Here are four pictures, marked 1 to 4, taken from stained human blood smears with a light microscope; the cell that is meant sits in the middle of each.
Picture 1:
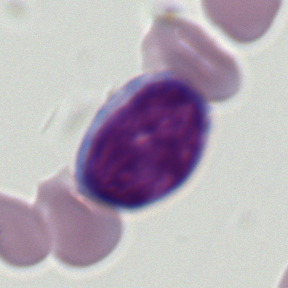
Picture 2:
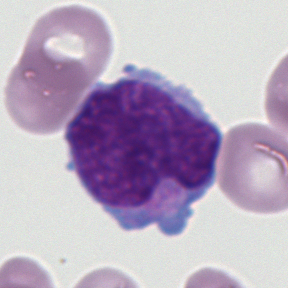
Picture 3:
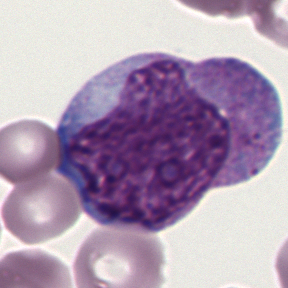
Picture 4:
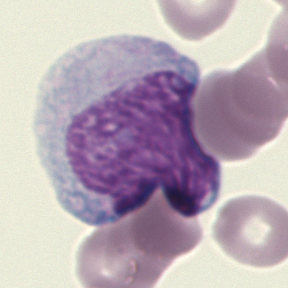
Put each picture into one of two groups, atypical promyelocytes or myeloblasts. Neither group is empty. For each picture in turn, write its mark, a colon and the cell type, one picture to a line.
1: myeloblast
2: atypical promyelocyte
3: atypical promyelocyte
4: atypical promyelocyte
